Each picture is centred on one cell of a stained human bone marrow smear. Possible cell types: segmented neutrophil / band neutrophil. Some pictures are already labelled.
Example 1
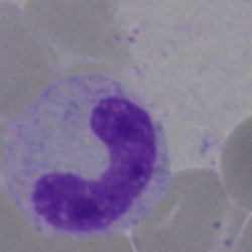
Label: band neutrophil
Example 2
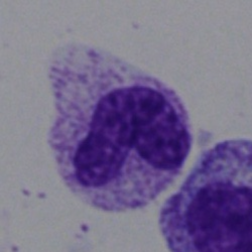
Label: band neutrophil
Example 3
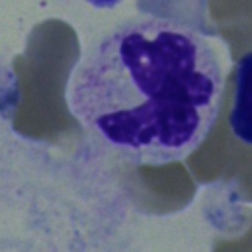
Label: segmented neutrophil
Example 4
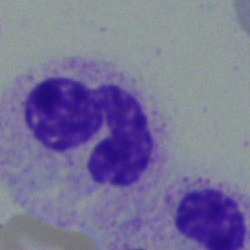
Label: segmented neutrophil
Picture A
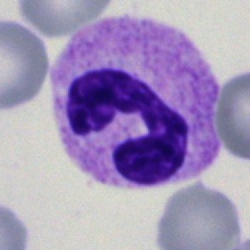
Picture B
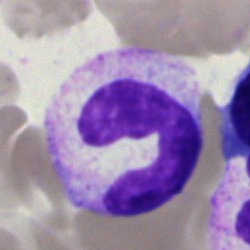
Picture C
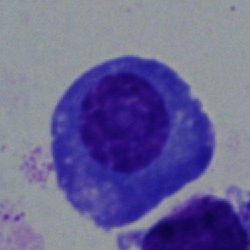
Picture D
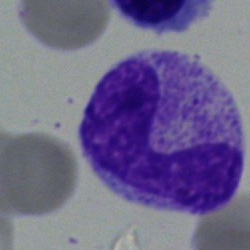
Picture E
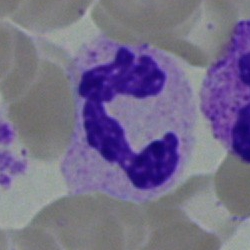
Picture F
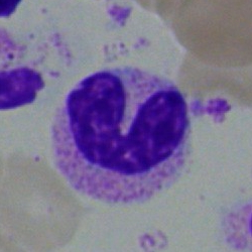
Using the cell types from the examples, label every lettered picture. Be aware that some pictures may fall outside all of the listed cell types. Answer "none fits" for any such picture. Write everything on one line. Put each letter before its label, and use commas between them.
A segmented neutrophil, B band neutrophil, C none fits, D band neutrophil, E segmented neutrophil, F band neutrophil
